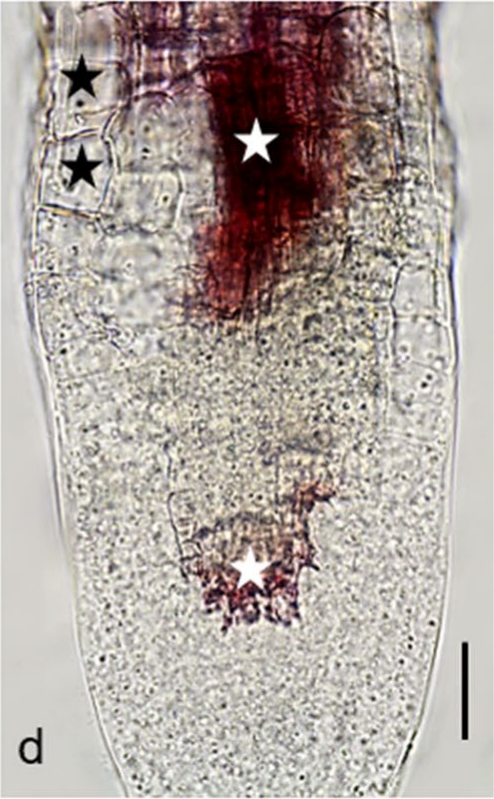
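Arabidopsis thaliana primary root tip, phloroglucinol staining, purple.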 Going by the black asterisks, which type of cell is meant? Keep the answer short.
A: enlarged rhizodermal cells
